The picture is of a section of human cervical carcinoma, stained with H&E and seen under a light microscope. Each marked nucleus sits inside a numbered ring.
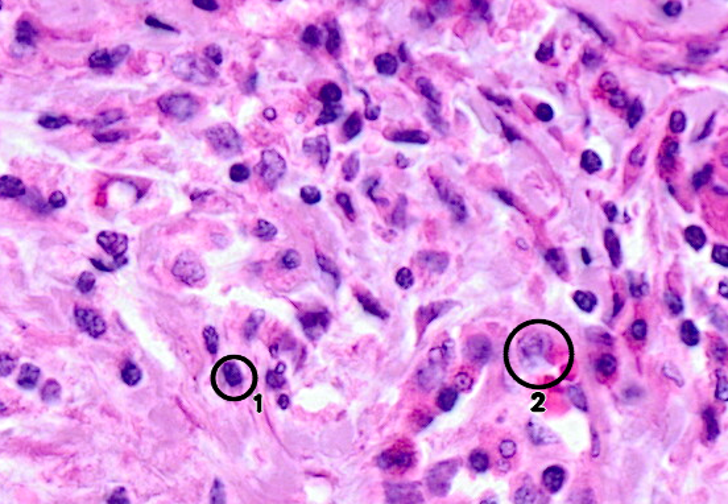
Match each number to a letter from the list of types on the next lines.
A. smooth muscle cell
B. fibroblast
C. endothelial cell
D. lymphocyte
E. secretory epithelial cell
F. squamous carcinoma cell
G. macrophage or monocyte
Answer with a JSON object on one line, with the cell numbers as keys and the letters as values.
{"1": "D", "2": "C"}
